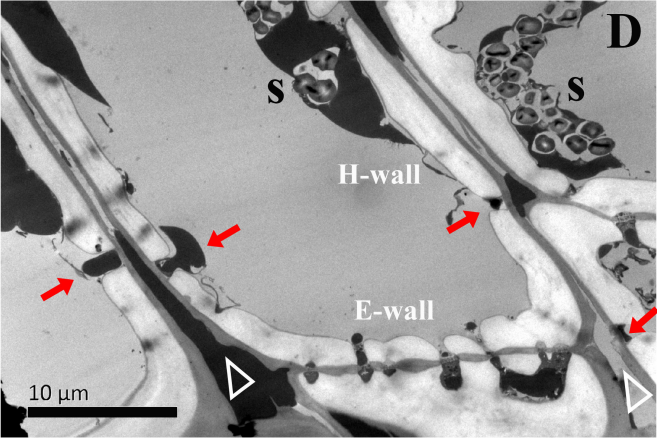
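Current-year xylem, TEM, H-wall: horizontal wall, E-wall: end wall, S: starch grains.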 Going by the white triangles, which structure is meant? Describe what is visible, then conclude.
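The triangles lie in elongated spaces between cell walls. So: intercellular spaces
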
